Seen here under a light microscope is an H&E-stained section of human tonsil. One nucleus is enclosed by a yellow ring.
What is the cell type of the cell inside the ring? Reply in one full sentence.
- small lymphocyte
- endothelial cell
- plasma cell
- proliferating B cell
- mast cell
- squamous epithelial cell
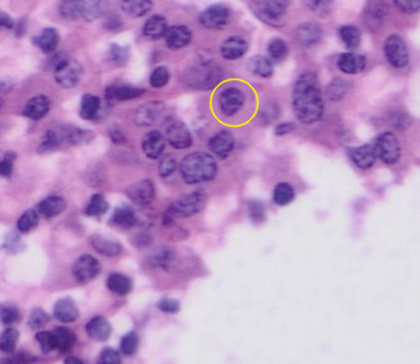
In this section, the cell inside the ring is a plasma cell.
